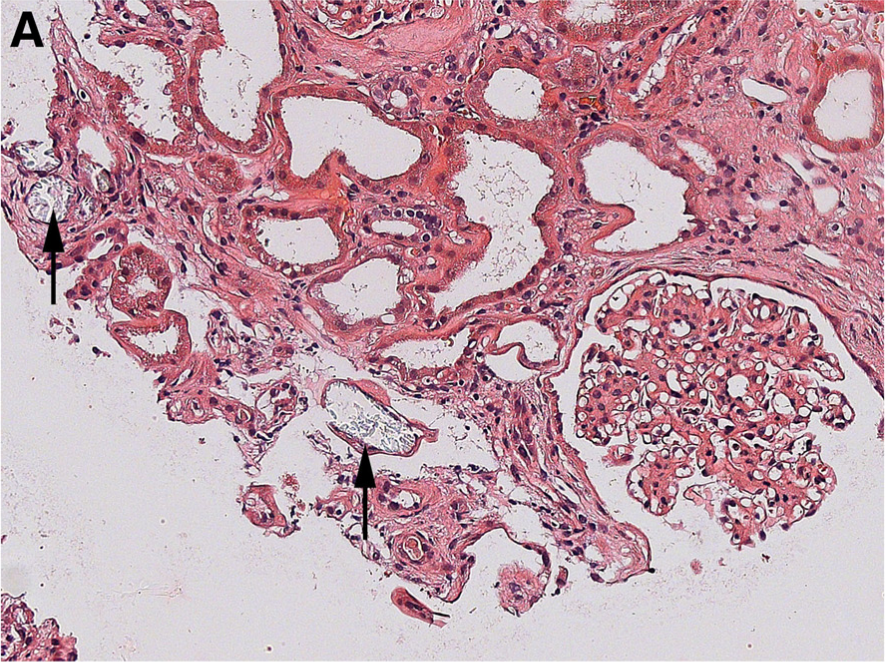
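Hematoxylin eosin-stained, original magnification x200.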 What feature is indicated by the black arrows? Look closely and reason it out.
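Pale, glassy, faceted material lies inside the lumens of tubules. The material takes up little of the pink or purple stain. So: Oxalate crystals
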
